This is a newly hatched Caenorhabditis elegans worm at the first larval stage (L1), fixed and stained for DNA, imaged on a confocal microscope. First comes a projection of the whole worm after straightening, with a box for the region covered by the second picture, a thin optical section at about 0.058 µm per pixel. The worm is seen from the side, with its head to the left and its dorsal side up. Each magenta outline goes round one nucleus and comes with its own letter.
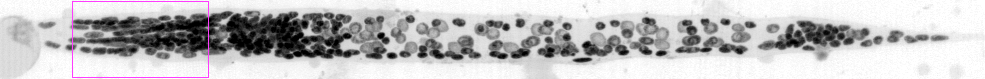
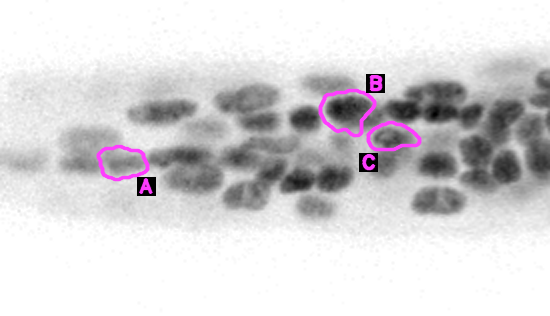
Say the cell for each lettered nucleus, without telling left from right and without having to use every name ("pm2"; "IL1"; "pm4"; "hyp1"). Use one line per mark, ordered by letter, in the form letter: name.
A: pm2
B: hyp1
C: pm4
